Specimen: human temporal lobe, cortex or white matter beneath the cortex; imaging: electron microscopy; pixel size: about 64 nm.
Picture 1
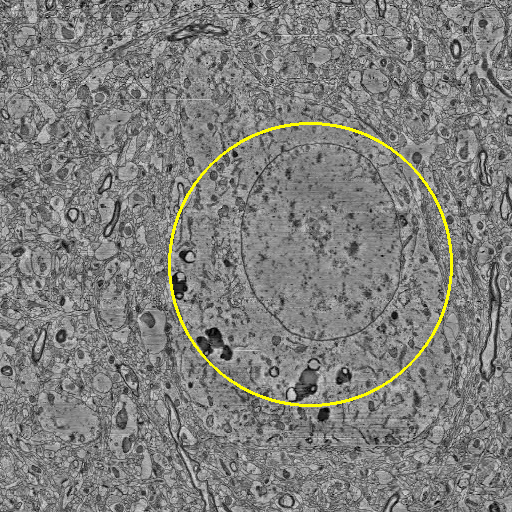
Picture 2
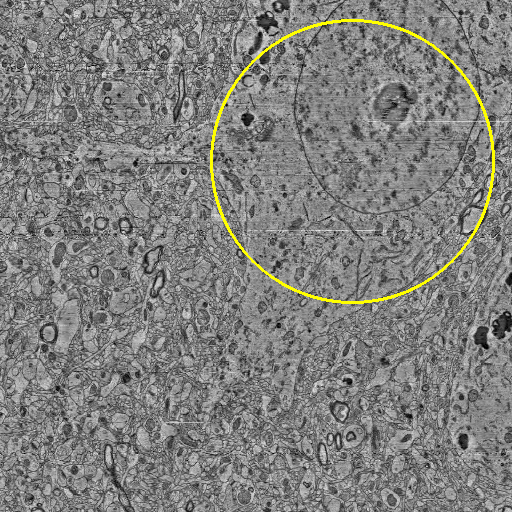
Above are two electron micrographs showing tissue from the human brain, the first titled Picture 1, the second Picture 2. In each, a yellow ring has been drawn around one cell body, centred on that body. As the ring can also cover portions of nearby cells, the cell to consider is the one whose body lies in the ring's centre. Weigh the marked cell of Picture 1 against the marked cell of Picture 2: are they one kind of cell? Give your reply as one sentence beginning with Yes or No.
Yes, the two cells sitting at the ring centres in the pictures are of one kind.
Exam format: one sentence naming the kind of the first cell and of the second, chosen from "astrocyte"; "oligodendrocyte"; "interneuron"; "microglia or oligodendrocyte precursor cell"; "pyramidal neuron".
Each of the two rings is centred on a pyramidal neuron.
